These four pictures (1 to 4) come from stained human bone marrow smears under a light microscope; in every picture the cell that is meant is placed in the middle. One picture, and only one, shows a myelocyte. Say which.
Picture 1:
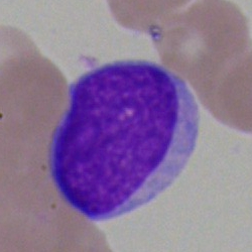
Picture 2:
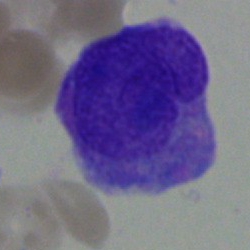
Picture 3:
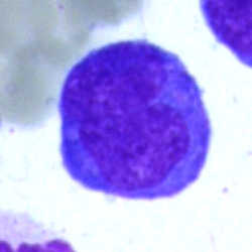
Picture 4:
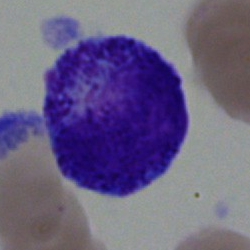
4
